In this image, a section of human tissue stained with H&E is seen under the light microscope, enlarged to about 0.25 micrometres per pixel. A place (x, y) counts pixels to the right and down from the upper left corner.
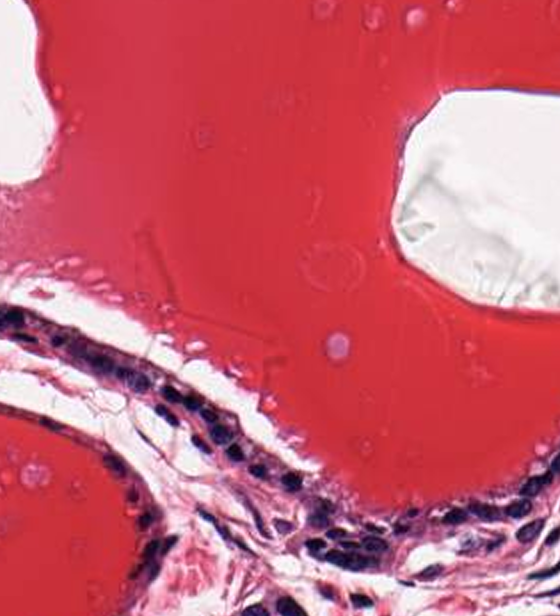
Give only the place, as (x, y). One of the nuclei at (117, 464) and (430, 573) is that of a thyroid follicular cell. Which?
(117, 464)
